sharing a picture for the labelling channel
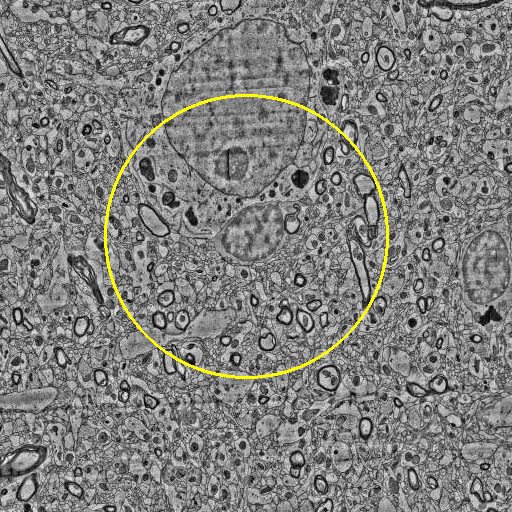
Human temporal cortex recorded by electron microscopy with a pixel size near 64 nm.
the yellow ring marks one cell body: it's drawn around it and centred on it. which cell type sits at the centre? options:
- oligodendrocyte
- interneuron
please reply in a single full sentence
In the picture, the cell at the ring's centre is an oligodendrocyte, going by the list.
